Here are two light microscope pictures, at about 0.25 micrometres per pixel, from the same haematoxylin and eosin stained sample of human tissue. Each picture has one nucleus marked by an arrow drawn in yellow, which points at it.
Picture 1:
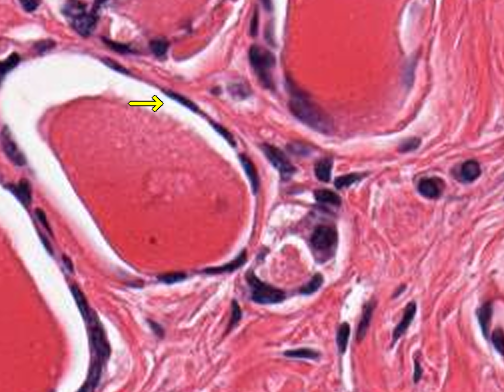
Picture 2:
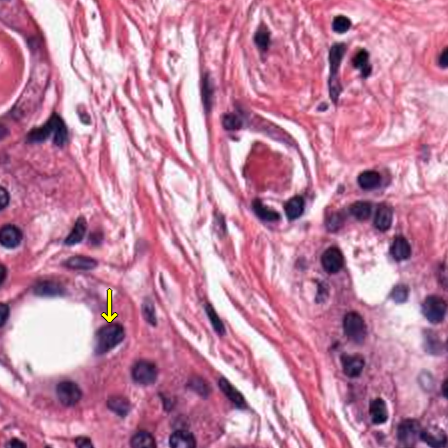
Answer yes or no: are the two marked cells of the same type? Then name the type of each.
Yes, both are thyroid follicular cells.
